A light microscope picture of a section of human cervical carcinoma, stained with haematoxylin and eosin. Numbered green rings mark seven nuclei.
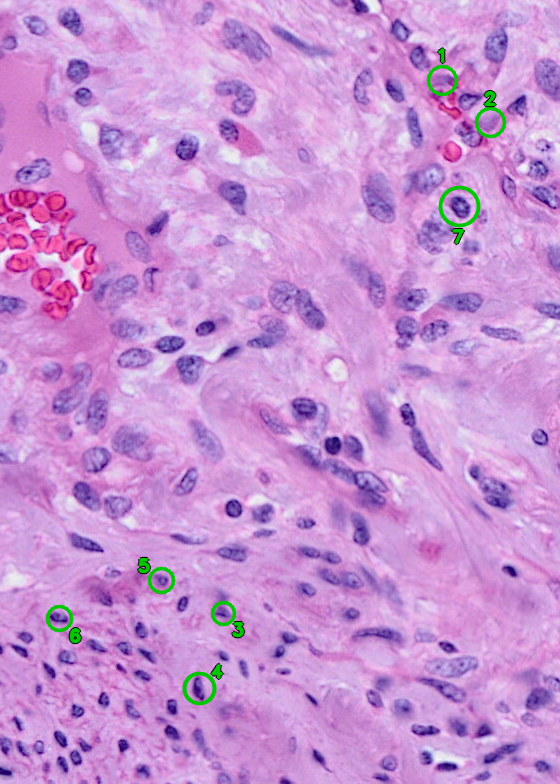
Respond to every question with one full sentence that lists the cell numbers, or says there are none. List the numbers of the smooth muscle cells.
Identification: the cells with numbers 3, 5 and 6 are smooth muscle cells.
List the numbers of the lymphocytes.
Cell 7 is a lymphocyte, whereas each of the other numbered cells is not.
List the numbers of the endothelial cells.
To be specific, the cells numbered 1 and 2 are endothelial cells.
